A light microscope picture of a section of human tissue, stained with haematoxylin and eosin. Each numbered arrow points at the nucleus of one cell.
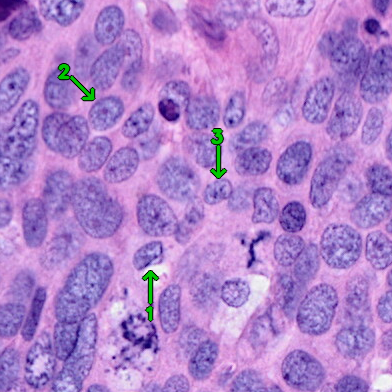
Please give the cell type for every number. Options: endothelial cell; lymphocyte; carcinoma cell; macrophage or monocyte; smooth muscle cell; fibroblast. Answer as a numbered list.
1. macrophage or monocyte
2. carcinoma cell
3. macrophage or monocyte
